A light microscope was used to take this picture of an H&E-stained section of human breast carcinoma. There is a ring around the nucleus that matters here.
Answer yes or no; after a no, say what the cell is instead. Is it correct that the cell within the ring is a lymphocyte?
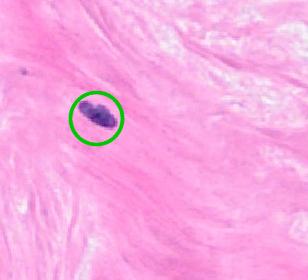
Yes.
